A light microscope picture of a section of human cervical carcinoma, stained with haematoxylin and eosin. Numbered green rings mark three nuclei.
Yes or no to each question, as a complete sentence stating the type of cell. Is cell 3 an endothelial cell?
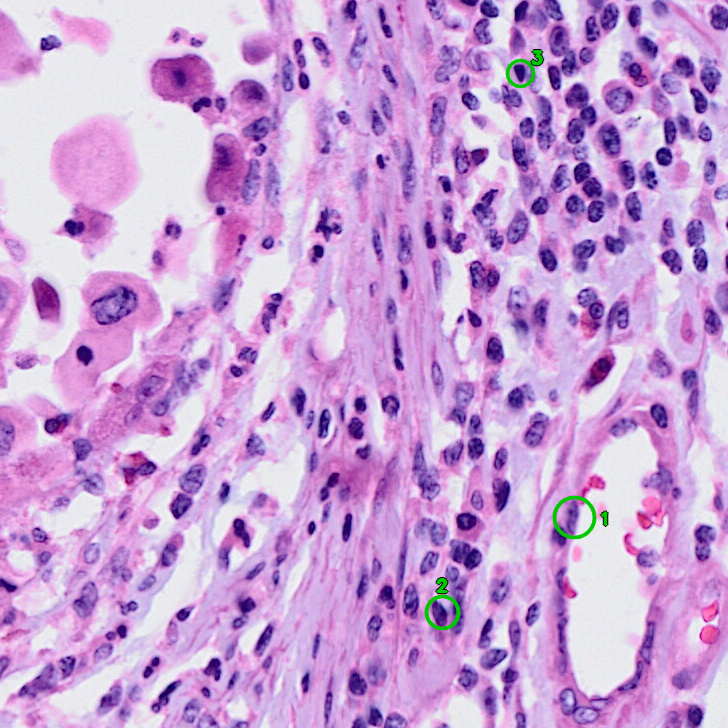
No, the cell under number 3 is a lymphocyte, not an endothelial cell.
